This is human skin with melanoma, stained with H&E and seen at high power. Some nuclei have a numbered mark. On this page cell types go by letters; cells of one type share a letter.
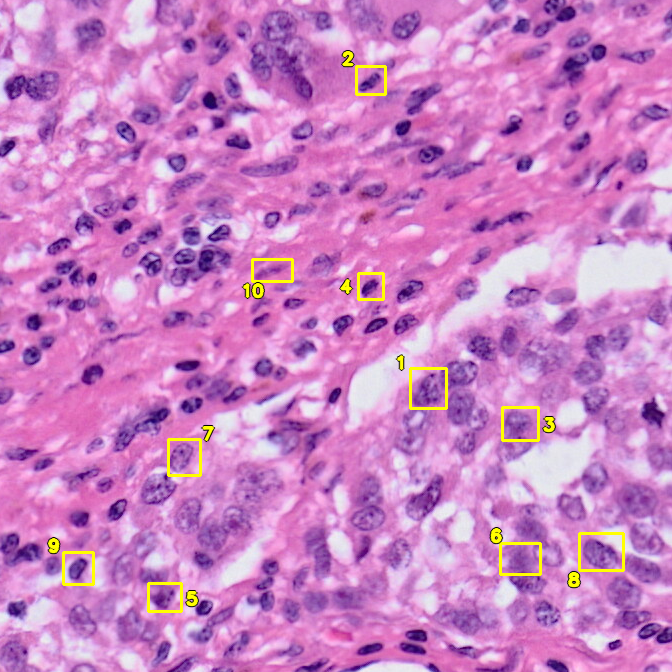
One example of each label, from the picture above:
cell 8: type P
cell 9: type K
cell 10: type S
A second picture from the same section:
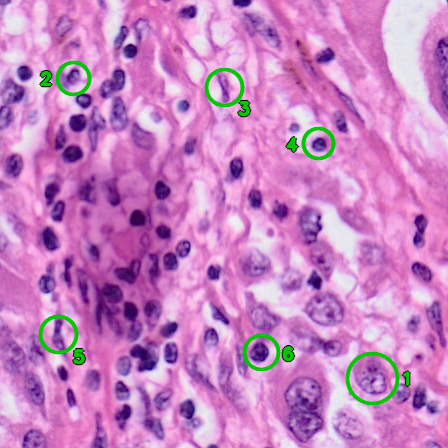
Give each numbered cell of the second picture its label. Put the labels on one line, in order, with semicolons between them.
type P; type K; type S; type K; type S; type K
